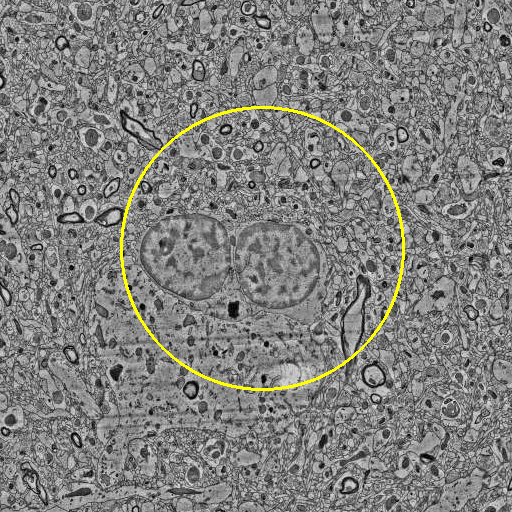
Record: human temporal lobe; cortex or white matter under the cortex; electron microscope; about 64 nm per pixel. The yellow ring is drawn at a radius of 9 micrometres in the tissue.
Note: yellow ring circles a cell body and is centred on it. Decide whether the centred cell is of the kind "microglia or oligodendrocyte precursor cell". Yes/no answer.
No, the centred cell is of another kind.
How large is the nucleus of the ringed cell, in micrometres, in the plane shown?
Approximately 6 micrometres across, in this plane.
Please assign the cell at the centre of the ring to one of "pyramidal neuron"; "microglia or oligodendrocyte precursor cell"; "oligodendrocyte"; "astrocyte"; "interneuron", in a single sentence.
The ring's central cell is an oligodendrocyte instead.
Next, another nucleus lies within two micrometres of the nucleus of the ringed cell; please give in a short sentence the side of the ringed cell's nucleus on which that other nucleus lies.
The other nucleus lies to the left of it in the picture.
